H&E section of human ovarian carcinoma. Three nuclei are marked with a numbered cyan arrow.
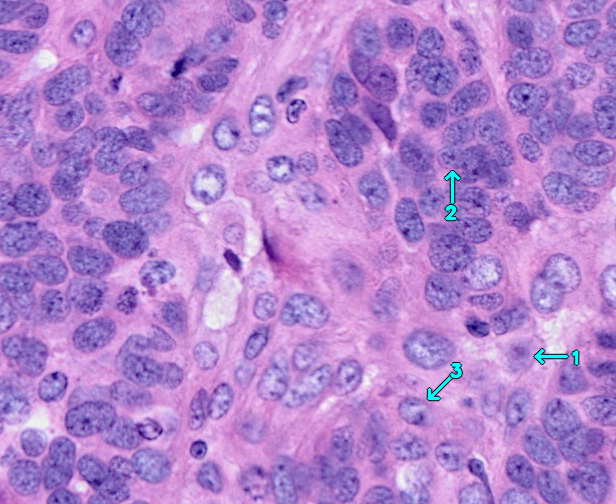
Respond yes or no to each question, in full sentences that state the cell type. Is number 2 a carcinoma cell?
Yes, looking at number 2, that cell is a carcinoma cell.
